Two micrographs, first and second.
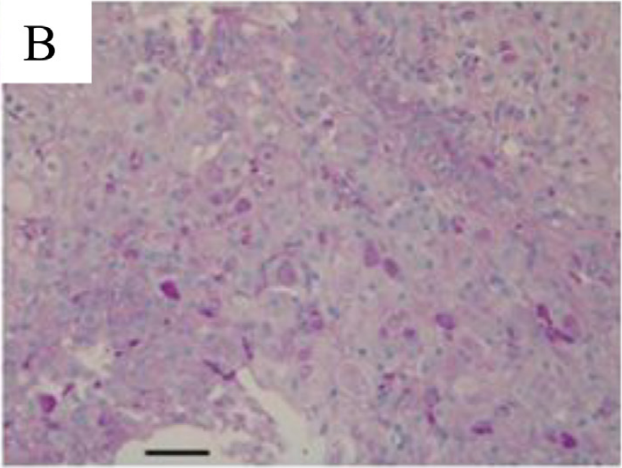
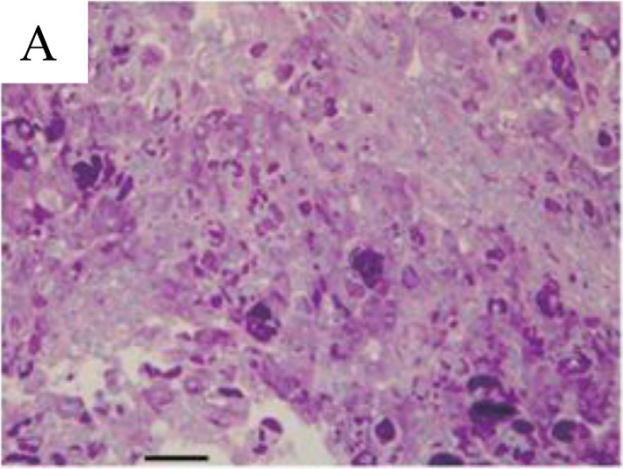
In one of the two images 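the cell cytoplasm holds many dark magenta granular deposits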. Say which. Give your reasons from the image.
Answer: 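The second image. First image: the tissue is pale pink-lilac with only a few scattered magenta deposits. Second image: many cells carry dense dark magenta clumps in their cytoplasm.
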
